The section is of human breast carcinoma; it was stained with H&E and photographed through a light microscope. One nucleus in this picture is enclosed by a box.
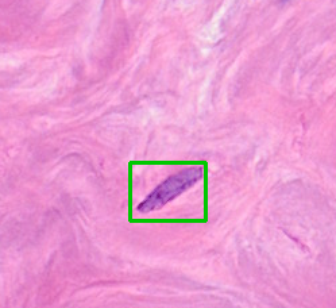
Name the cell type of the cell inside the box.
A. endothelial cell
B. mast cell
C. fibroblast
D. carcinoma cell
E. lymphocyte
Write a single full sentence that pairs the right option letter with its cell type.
Option C is the correct one: the cell inside the box is a fibroblast.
